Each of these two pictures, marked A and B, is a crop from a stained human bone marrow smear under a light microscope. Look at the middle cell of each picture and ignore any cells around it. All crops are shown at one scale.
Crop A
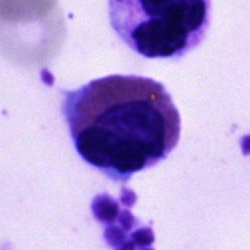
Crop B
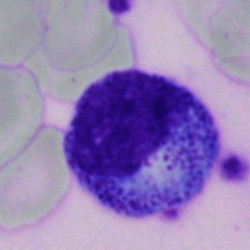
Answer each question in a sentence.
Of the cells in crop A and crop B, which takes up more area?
Larger is the cell in crop B, at roughly 2 times the area of the other.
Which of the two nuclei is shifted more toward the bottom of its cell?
The nucleus in crop A lies further toward the bottom of its cell.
